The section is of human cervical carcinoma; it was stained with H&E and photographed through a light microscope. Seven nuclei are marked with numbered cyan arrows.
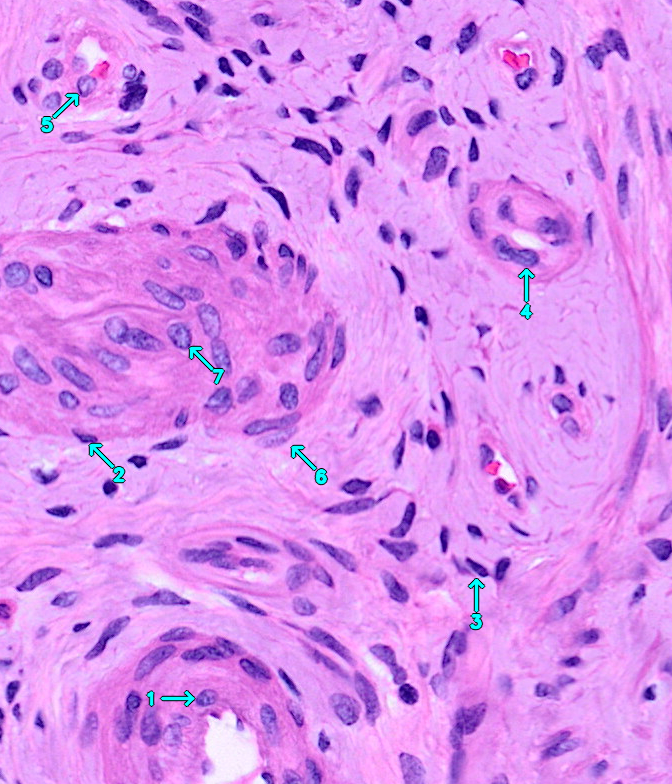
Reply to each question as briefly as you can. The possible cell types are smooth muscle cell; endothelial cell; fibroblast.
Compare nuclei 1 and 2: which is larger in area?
1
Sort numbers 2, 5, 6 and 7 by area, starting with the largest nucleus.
6, 7, 5, 2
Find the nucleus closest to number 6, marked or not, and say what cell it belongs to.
smooth muscle cell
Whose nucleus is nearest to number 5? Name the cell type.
endothelial cell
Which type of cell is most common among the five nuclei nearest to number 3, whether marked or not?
fibroblast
